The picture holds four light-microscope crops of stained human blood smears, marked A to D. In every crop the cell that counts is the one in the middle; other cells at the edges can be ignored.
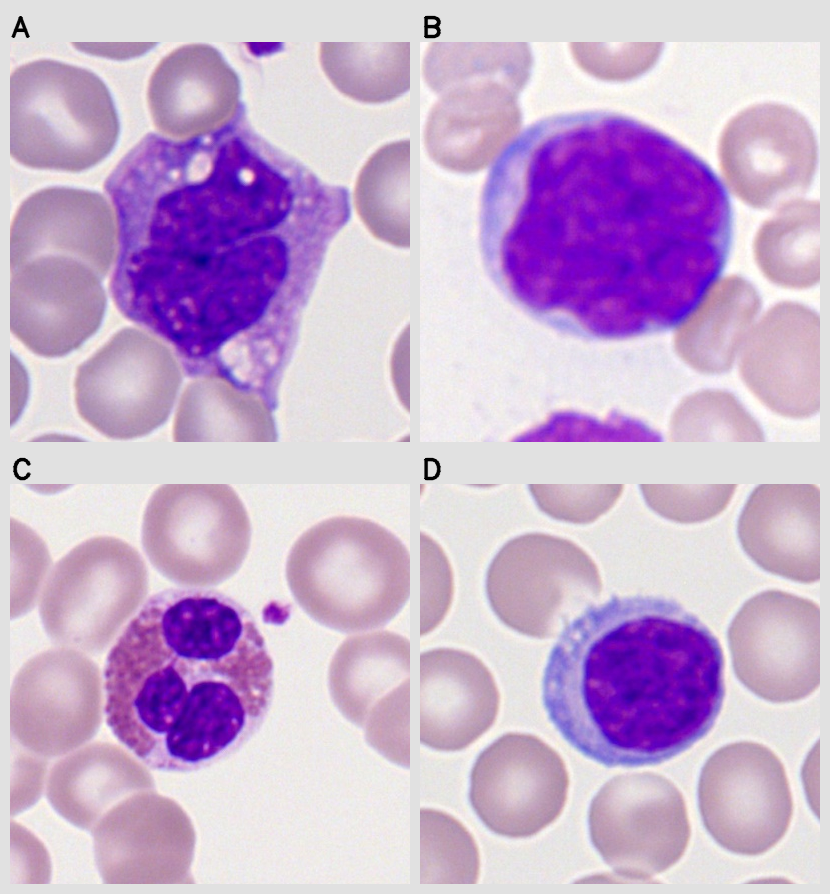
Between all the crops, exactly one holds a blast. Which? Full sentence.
Crop B is the crop that shows a blast in its middle.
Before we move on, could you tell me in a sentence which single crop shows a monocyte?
On review of the set, crop A is the one showing a monocyte.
